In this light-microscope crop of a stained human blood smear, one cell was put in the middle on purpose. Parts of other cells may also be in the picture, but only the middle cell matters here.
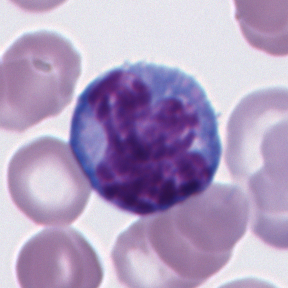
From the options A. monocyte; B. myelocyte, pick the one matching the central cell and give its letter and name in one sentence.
The cell in the center of this crop is a monocyte, so option A is the one to pick.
